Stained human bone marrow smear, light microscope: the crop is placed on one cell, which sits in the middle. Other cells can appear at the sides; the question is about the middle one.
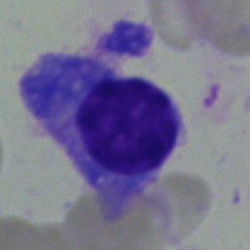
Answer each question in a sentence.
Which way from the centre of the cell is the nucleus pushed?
The nucleus sits off-centre, toward the right.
